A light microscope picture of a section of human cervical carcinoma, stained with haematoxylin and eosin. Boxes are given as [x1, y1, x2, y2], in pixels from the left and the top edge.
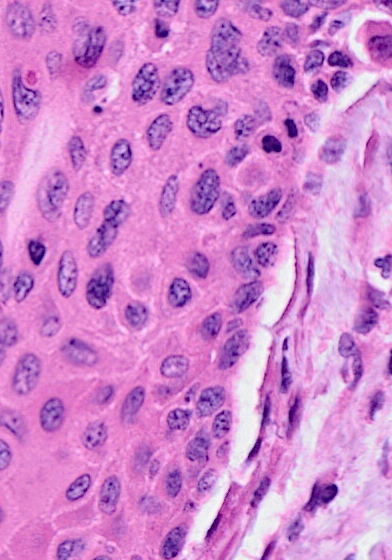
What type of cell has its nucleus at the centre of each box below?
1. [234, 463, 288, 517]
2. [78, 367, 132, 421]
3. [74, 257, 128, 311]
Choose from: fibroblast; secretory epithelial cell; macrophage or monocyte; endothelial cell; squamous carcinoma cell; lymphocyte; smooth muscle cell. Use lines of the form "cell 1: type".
cell 1: fibroblast
cell 2: squamous carcinoma cell
cell 3: squamous carcinoma cell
